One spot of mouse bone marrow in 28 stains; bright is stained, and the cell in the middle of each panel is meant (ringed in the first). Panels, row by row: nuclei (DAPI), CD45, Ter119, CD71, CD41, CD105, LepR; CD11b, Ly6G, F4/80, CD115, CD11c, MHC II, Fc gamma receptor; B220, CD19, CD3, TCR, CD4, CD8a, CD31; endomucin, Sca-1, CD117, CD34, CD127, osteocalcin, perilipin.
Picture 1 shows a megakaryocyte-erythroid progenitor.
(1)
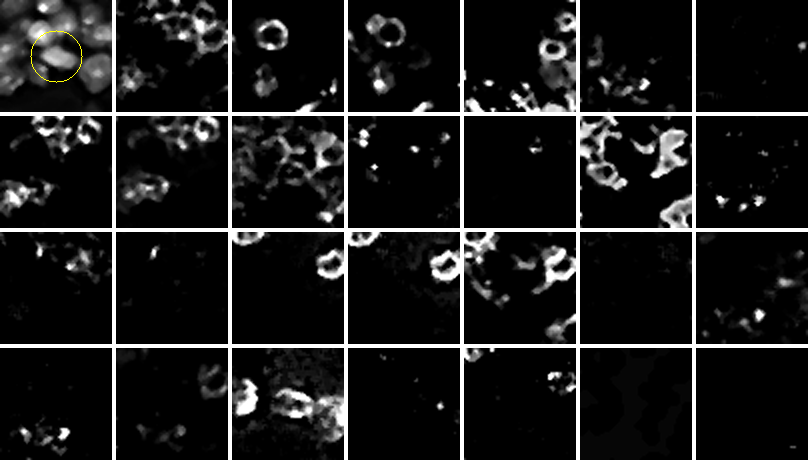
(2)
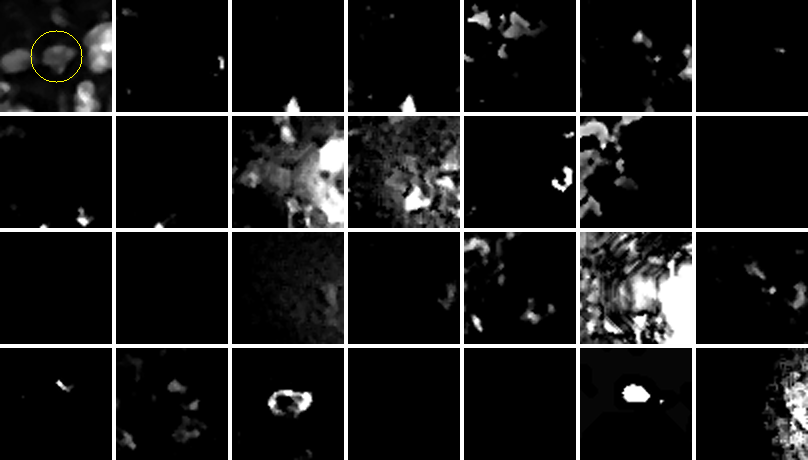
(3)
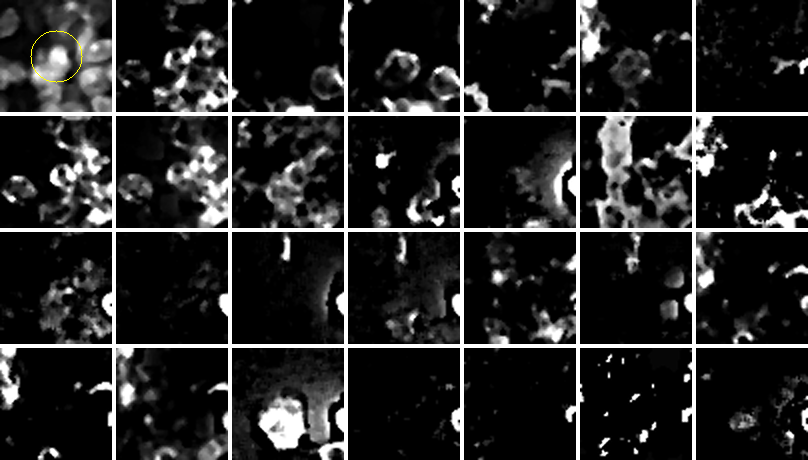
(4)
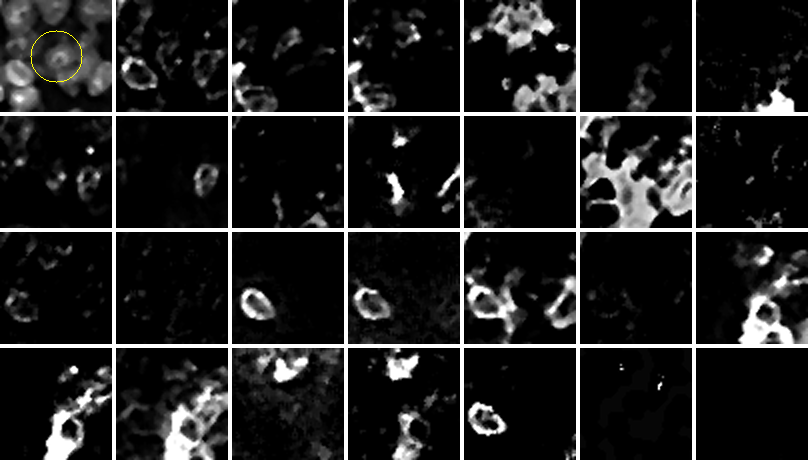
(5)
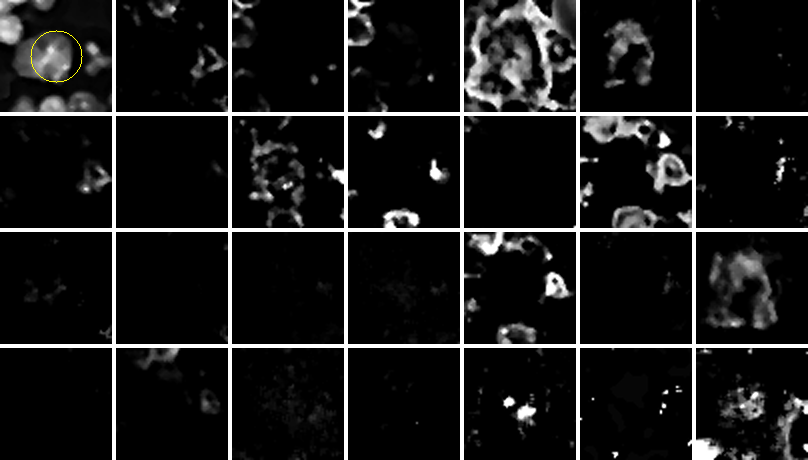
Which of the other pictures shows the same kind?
Picture 2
